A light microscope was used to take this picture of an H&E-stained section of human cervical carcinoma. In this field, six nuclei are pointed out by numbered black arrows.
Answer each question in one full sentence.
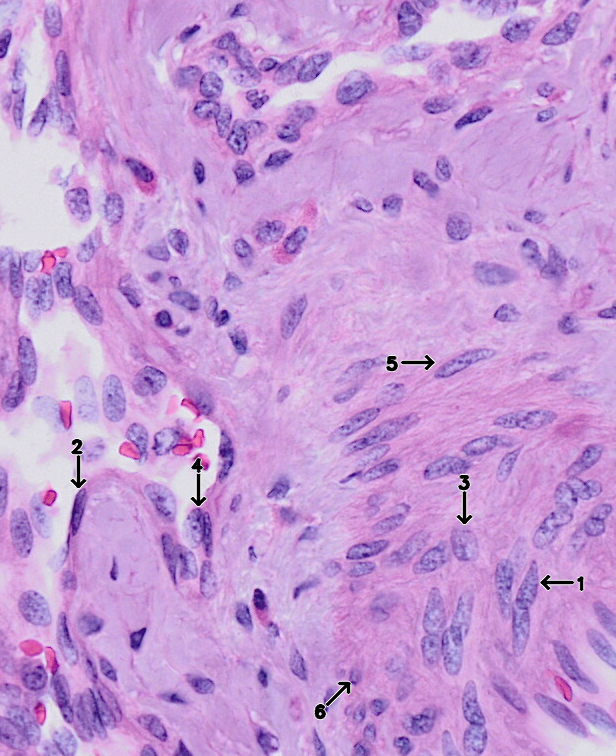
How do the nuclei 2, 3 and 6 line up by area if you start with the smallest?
Smallest first, the nuclei run 6, 2, 3.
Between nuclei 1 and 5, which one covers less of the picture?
Number 1 is smaller, since number 5 takes up about 1.5 times as much area.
